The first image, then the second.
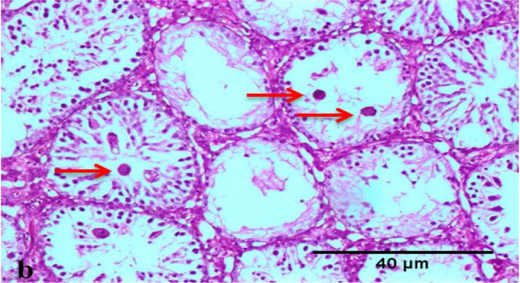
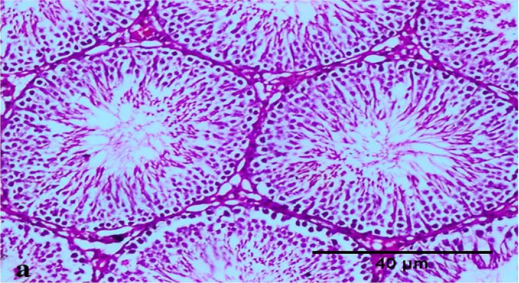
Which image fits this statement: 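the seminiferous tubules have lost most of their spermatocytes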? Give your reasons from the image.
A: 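First image: tubules are largely empty, with a thin rim of cells and wide pale lumens. Second image: tubules are filled with many layers of germ cells converging on a central lumen with sperm tails.
Hence: the first image.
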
